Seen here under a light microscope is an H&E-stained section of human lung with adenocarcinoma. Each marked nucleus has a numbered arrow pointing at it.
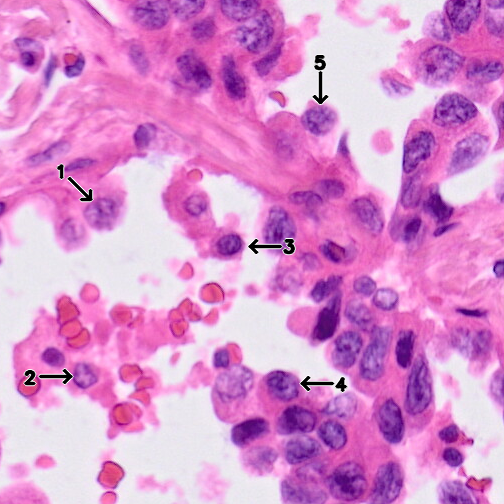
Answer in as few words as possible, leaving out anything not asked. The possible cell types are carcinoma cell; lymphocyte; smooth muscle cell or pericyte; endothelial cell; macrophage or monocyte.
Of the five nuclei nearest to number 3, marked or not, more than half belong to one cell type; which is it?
carcinoma cell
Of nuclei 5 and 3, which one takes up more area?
5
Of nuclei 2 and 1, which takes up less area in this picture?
2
